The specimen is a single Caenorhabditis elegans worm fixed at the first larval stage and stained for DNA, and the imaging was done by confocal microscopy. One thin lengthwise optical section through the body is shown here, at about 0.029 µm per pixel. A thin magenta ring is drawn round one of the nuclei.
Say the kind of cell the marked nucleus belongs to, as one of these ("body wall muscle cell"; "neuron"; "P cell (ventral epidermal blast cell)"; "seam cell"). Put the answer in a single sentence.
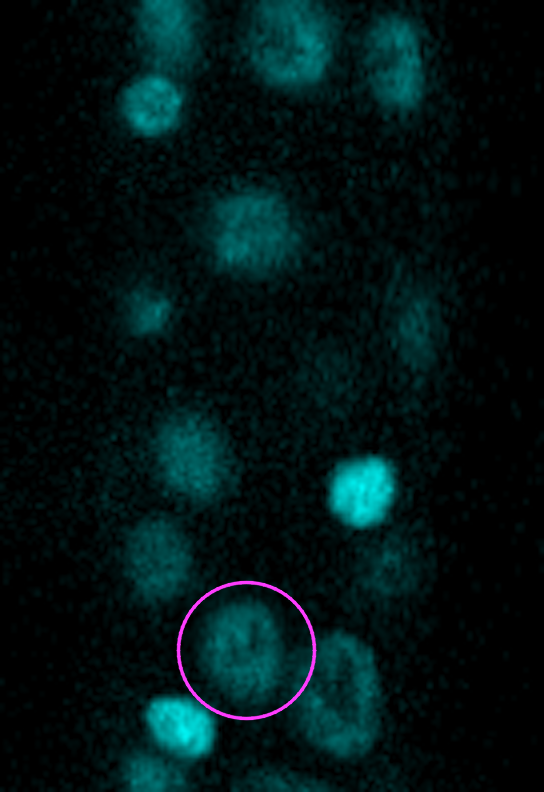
The marked nucleus is that of a seam cell.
